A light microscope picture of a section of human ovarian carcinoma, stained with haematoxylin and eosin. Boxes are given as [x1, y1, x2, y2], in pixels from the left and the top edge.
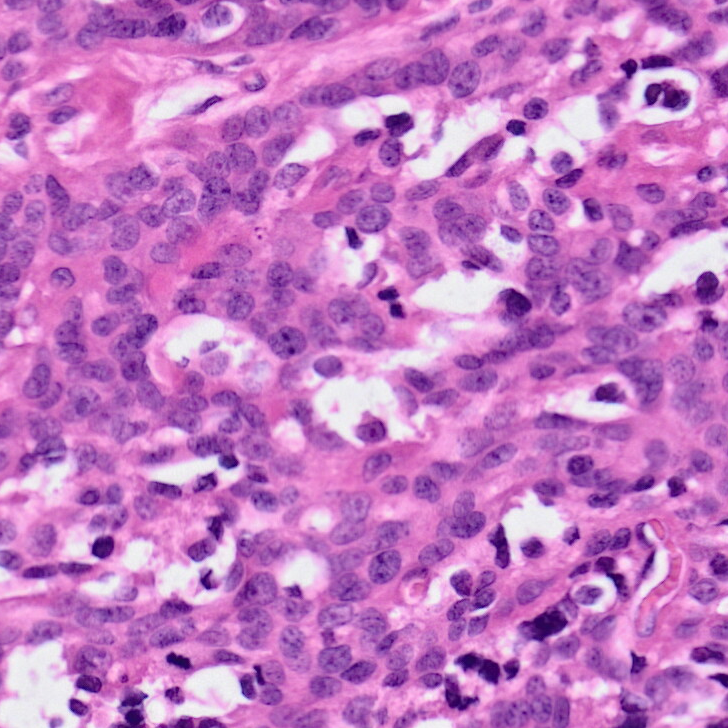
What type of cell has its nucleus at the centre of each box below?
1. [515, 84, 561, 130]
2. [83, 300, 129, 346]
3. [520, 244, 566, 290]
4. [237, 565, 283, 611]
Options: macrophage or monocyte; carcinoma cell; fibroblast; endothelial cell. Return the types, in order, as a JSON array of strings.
["macrophage or monocyte", "carcinoma cell", "carcinoma cell", "carcinoma cell"]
